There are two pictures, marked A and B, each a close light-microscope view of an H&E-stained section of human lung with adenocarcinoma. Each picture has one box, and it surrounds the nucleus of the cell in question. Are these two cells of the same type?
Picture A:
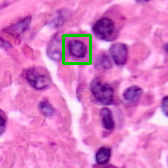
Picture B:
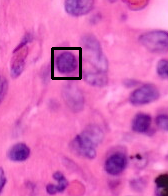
yes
